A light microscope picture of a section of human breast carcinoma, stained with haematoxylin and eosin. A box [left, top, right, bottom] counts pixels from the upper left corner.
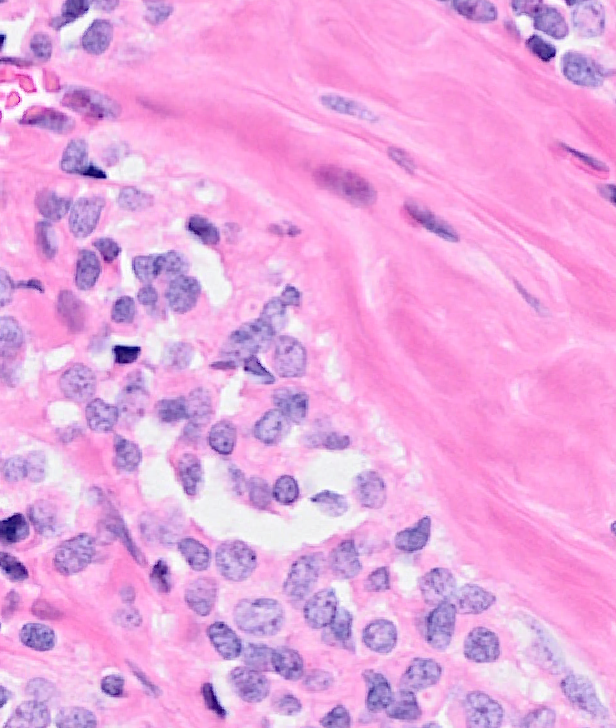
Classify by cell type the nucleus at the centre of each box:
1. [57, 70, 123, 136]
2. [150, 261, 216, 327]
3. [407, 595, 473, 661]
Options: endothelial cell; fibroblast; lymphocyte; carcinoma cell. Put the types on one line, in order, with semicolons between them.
endothelial cell; carcinoma cell; carcinoma cell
